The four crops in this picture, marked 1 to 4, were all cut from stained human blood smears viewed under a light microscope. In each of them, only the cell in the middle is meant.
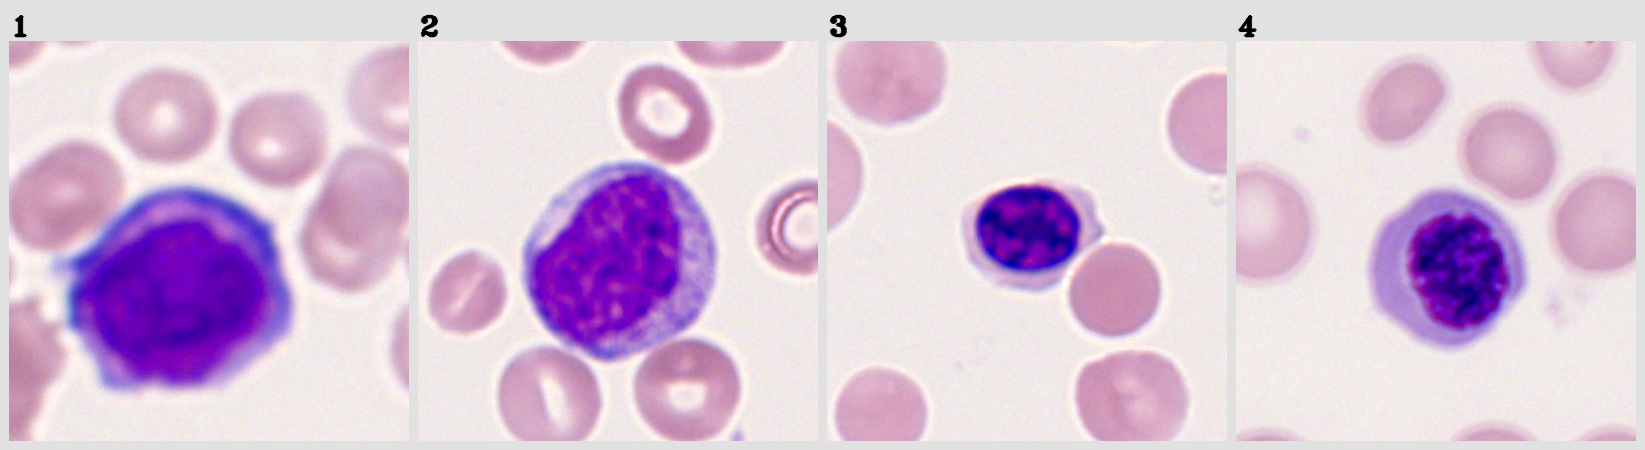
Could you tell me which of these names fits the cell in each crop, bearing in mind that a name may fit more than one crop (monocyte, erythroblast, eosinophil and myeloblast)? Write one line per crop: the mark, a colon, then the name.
1: myeloblast
2: monocyte
3: erythroblast
4: erythroblast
